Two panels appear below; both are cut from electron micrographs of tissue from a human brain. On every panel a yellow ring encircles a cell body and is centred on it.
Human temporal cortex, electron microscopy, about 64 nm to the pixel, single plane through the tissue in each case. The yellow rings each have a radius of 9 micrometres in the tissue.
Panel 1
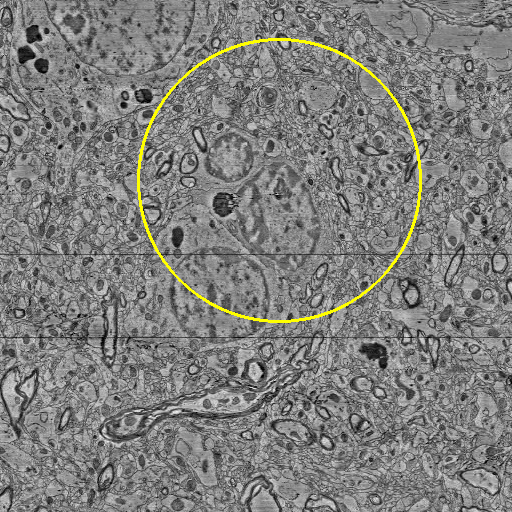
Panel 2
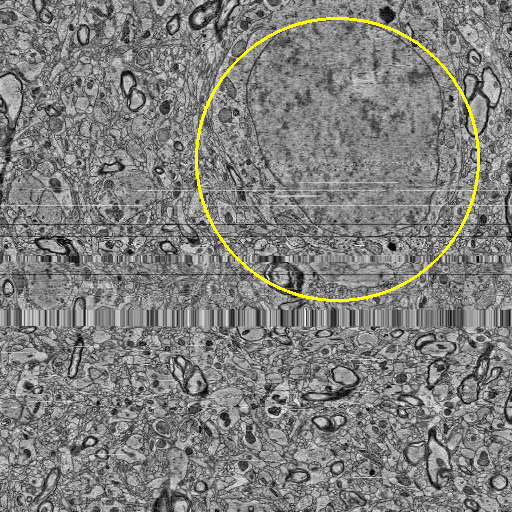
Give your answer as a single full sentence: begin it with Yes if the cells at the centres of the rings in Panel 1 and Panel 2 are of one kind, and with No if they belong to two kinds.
No, the cells in the middle of the rings in Panels 1 and 2 are of two kinds.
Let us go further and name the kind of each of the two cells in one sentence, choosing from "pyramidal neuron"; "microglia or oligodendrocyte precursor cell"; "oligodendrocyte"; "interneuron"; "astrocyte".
The ring of the first picture is on an oligodendrocyte, the ring of the second on a pyramidal neuron.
